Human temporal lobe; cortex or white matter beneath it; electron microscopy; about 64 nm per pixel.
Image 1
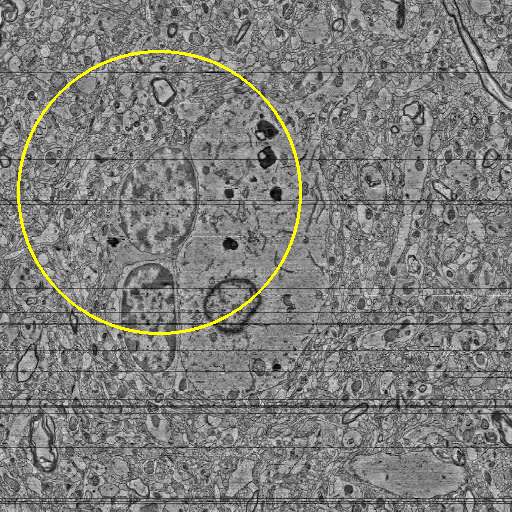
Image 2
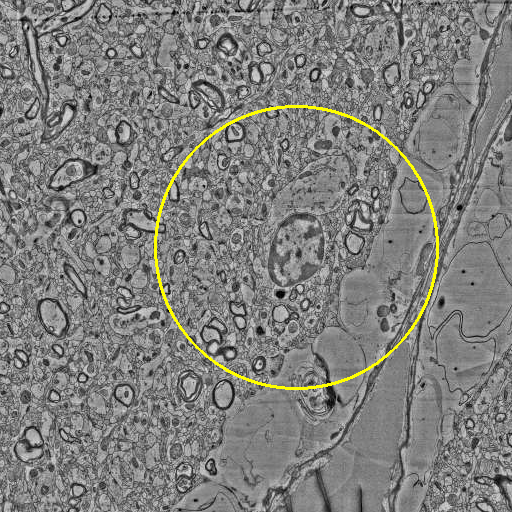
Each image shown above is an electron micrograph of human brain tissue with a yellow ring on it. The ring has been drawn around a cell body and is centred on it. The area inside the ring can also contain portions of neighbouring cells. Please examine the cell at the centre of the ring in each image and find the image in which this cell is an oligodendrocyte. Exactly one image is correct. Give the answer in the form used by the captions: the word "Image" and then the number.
Image 1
